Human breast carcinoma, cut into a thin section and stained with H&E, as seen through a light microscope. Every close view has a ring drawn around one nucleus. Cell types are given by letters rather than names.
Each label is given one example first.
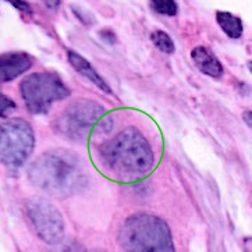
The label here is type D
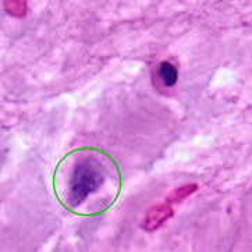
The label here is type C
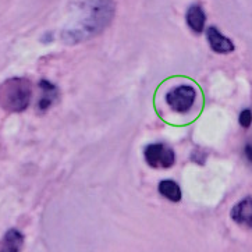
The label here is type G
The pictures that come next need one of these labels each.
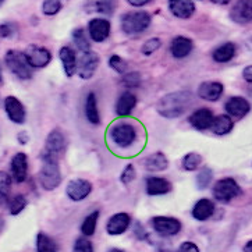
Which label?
type G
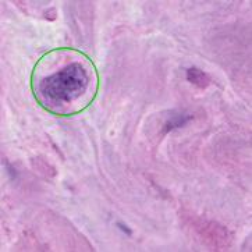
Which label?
type C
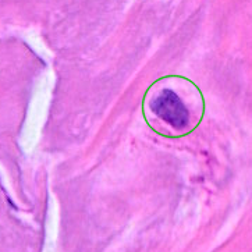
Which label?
type C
